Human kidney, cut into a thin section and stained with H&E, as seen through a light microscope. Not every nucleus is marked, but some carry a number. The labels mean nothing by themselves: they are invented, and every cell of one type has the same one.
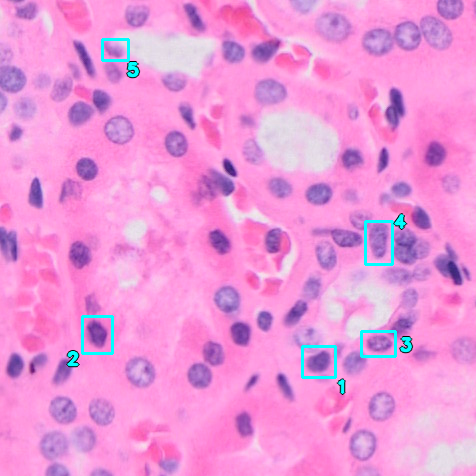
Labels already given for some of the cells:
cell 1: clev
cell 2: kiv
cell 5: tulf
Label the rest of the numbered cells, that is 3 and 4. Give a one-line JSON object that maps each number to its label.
{"3": "clev", "4": "clev"}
